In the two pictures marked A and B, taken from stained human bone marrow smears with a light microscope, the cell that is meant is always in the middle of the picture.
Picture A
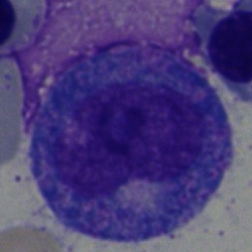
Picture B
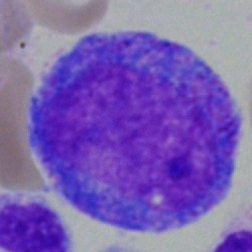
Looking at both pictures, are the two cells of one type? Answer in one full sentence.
Yes, they are the same type: both are promyelocytes.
